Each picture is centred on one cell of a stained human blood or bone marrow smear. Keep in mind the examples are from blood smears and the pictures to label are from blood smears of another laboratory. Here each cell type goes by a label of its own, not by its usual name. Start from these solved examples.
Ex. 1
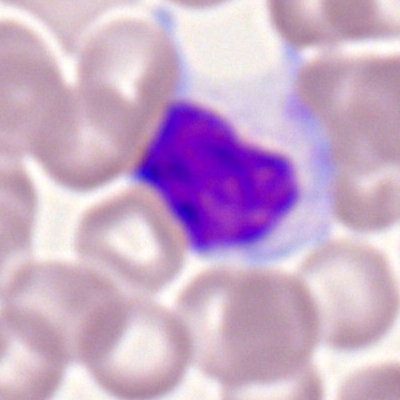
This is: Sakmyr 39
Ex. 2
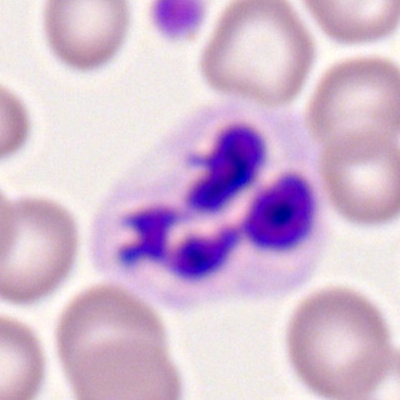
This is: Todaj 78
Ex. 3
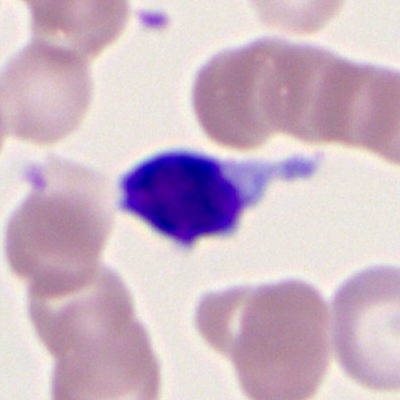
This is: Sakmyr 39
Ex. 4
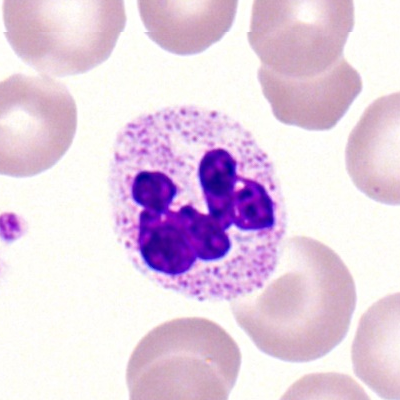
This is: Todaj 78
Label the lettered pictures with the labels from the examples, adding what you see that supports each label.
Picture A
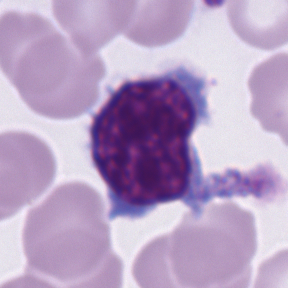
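Answer: Sakmyr 39. The cytoplasm forms only a thin rim around the nucleus.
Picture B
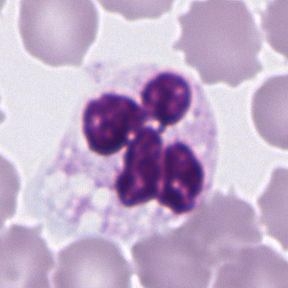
Answer: Todaj 78. The cytoplasm is abundant and very pale.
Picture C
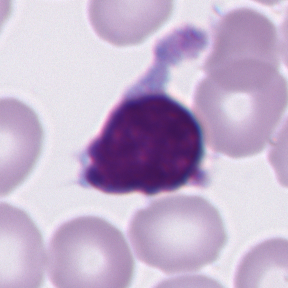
Answer: Sakmyr 39. The nucleus fills almost the whole cell body, leaving scarcely any cytoplasm around it.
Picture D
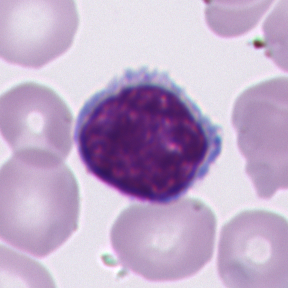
Answer: Sakmyr 39. The cytoplasm forms only a narrow rim around the nucleus.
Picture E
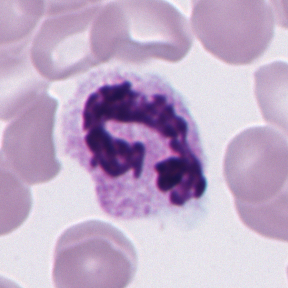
Answer: Todaj 78. The nucleus curves into a C-shape whose opening faces downward.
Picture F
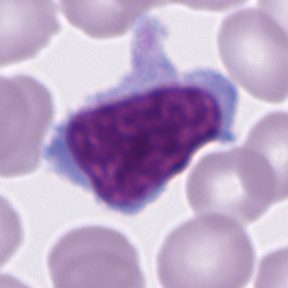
Answer: Sakmyr 39. The cytoplasm is pale blue and forms only a narrow rim around most of the nucleus.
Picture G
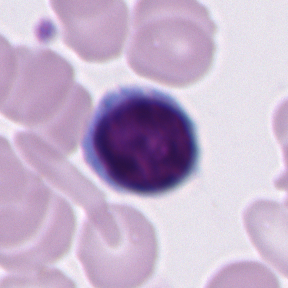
Answer: Sakmyr 39. The cytoplasm forms only a thin rim around the nucleus.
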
